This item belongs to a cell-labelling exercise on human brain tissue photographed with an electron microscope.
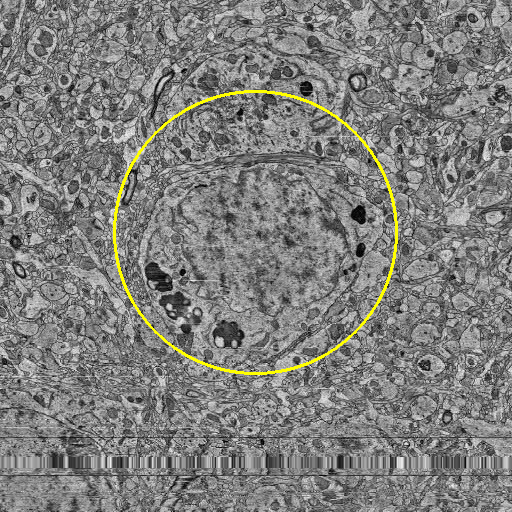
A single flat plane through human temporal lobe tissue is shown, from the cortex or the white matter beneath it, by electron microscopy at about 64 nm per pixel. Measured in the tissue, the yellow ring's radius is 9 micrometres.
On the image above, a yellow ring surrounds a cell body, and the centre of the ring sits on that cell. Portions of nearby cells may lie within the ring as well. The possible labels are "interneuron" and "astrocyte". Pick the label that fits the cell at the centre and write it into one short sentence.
This cell should be labelled as an interneuron.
